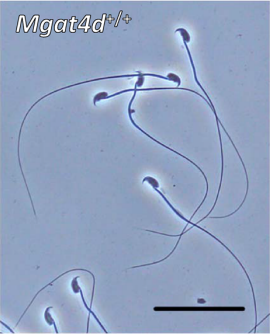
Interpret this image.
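These are single spermatozoa seen lying free on a slide. Each cell has a small, dark, hook-shaped head. From the head runs a very long, thin tail many times the head's length. The tails curve and cross one another across the field. A few heads lie close together near the top of the field.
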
